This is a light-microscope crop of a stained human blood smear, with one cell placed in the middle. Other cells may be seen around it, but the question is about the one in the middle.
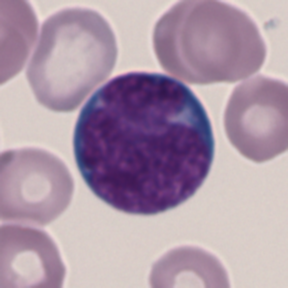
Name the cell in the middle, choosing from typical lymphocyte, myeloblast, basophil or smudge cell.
myeloblast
